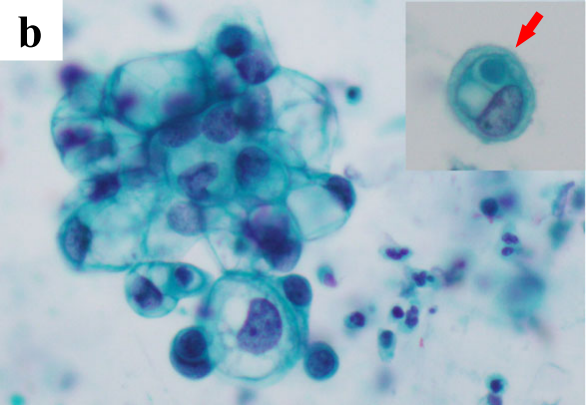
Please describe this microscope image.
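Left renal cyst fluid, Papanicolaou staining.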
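A cluster of atypical epithelial cells with focal clear cytoplasm lies in a pale background with scattered small inflammatory cells. The cells have well-defined cell borders outlined in blue-green, and much of their cytoplasm appears clear or vacuolated. Their nuclei are round to oval, enlarged and vary in size, with some eccentrically placed.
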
